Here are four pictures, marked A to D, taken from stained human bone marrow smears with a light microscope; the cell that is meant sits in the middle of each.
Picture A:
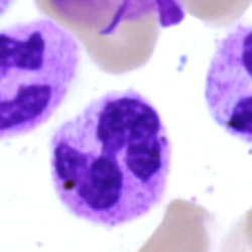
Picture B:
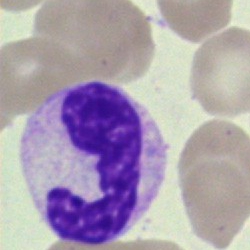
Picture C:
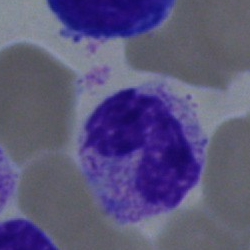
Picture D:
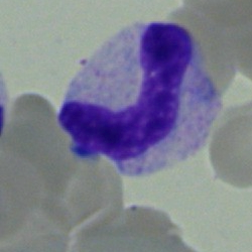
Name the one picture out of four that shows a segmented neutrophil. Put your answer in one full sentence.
The segmented neutrophil is the one in picture A.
